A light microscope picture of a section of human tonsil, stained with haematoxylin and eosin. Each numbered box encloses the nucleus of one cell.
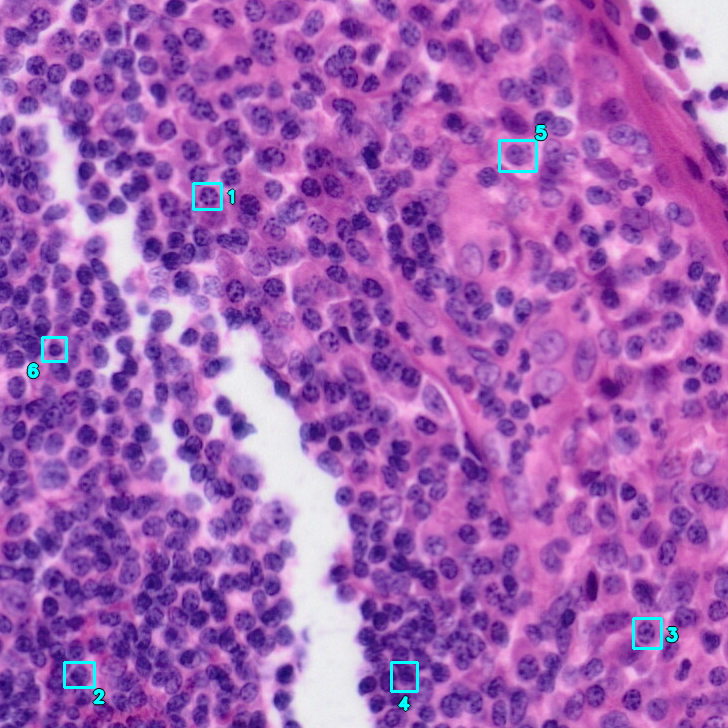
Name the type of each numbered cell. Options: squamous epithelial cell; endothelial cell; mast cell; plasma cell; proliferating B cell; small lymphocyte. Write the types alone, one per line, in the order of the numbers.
plasma cell
small lymphocyte
plasma cell
small lymphocyte
squamous epithelial cell
small lymphocyte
